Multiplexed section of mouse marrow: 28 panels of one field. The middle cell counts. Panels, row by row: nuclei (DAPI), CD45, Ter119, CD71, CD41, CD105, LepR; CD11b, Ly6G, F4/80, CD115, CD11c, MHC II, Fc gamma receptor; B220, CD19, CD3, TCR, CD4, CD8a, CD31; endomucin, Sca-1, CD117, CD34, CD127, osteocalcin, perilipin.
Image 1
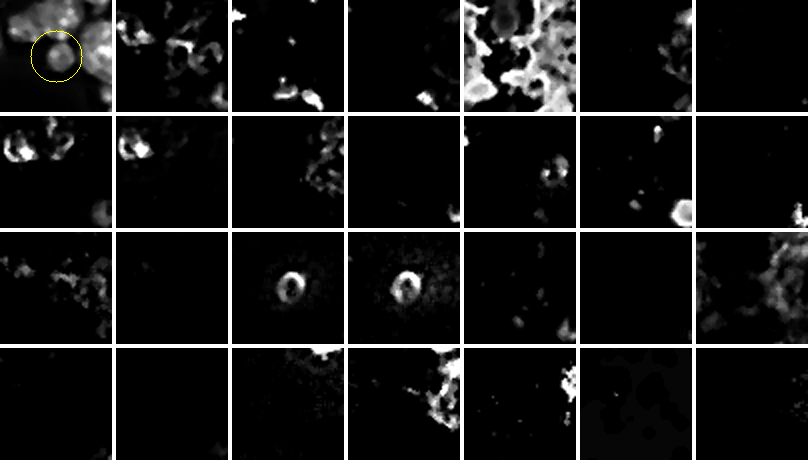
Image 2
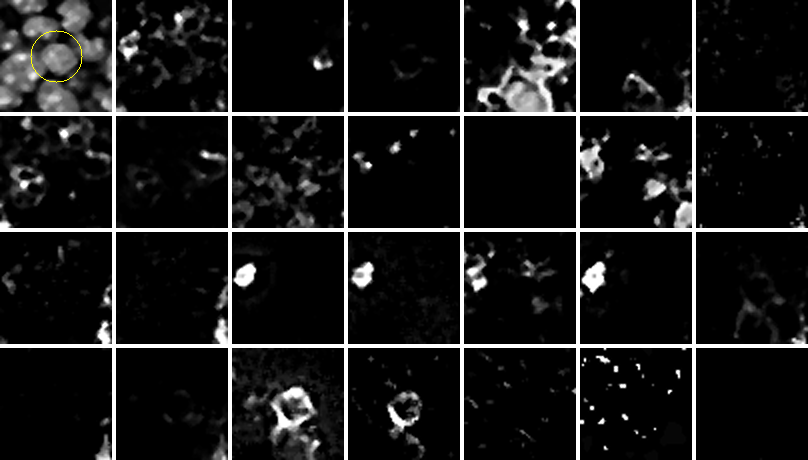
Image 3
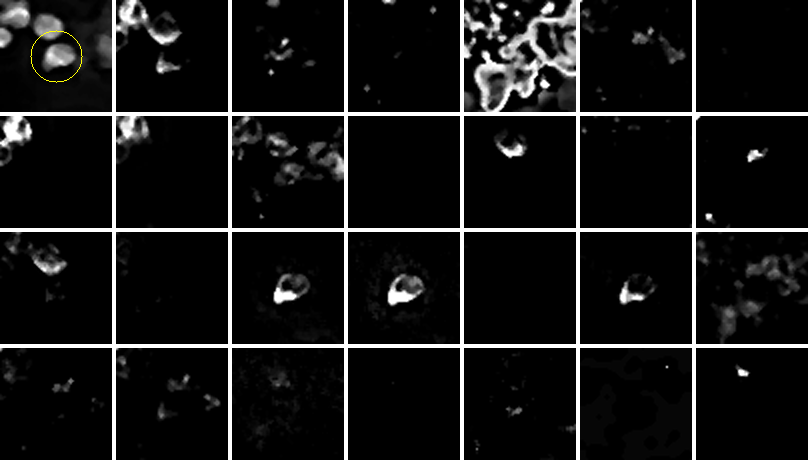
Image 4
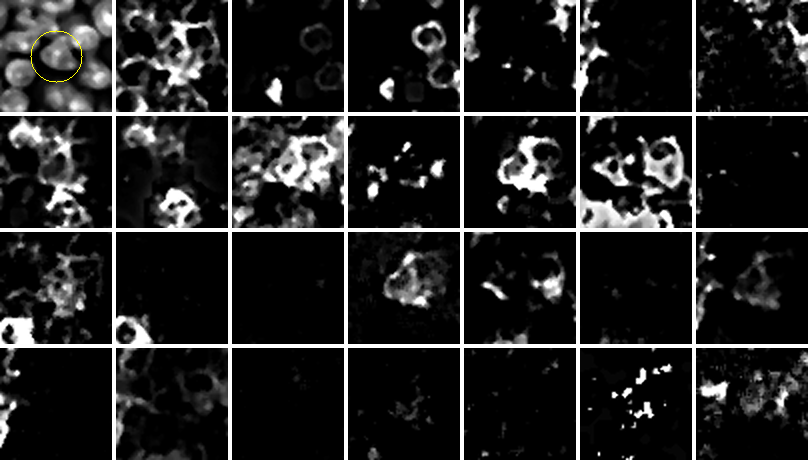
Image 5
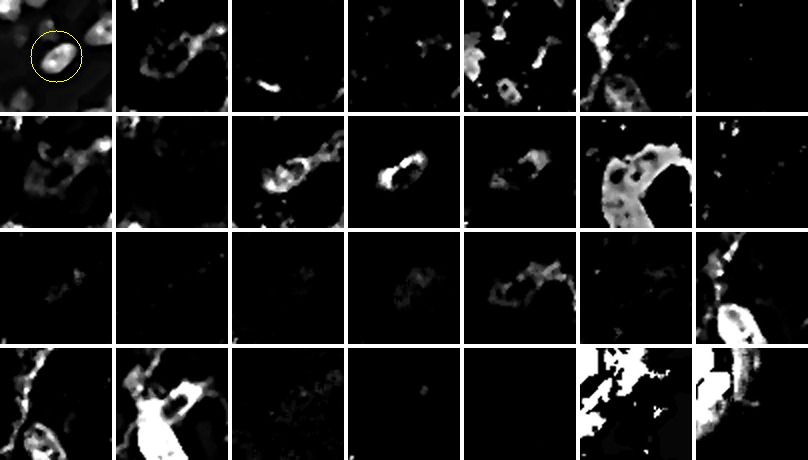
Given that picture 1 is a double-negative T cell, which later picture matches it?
3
